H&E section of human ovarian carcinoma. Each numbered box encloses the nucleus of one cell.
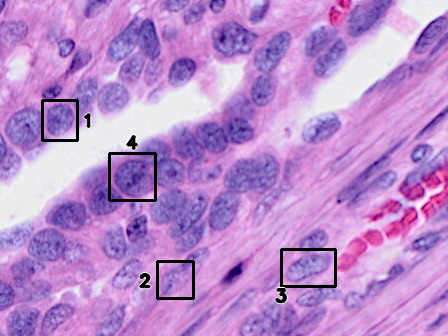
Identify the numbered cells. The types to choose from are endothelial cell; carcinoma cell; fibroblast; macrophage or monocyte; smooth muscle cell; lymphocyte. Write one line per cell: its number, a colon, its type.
1: carcinoma cell
2: fibroblast
3: endothelial cell
4: carcinoma cell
